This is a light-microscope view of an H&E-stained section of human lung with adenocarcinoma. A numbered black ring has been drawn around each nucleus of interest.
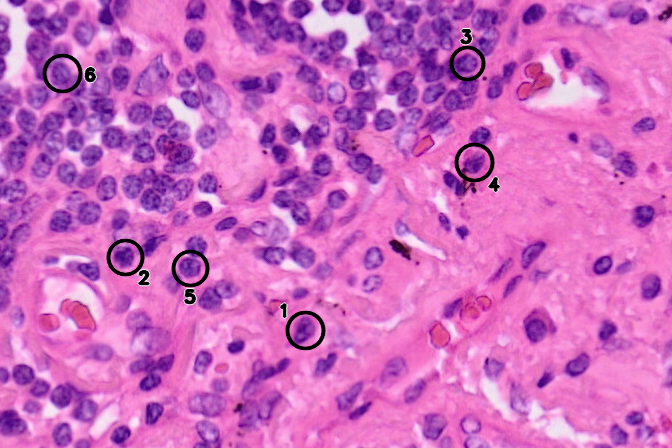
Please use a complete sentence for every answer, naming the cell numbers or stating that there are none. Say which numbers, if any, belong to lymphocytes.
Within the section, cells numbered 2, 3, 5 and 6 are lymphocytes.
